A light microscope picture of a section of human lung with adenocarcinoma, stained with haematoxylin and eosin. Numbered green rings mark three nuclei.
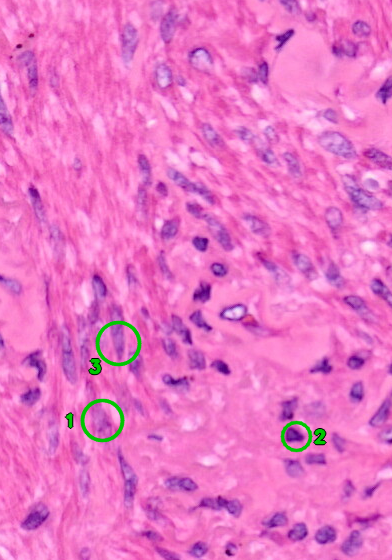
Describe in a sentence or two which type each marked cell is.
Cells 1 and 3 are smooth muscle cells or pericytes. Cell 2 is a mast cell.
